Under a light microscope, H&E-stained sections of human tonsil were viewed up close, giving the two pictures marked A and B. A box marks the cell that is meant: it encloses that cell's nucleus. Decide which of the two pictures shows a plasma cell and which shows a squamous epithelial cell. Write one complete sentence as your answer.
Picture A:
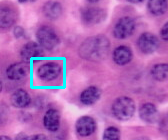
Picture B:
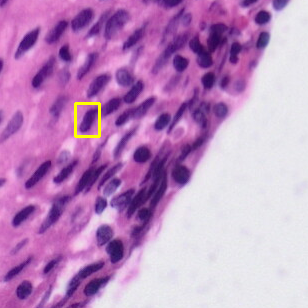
In picture A the cell is a plasma cell; in picture B, a squamous epithelial cell.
